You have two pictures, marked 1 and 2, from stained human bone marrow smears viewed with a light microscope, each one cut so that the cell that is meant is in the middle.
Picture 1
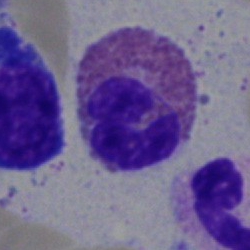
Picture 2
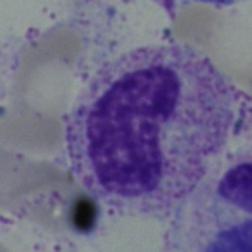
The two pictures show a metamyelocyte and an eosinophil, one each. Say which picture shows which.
1: eosinophil
2: metamyelocyte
